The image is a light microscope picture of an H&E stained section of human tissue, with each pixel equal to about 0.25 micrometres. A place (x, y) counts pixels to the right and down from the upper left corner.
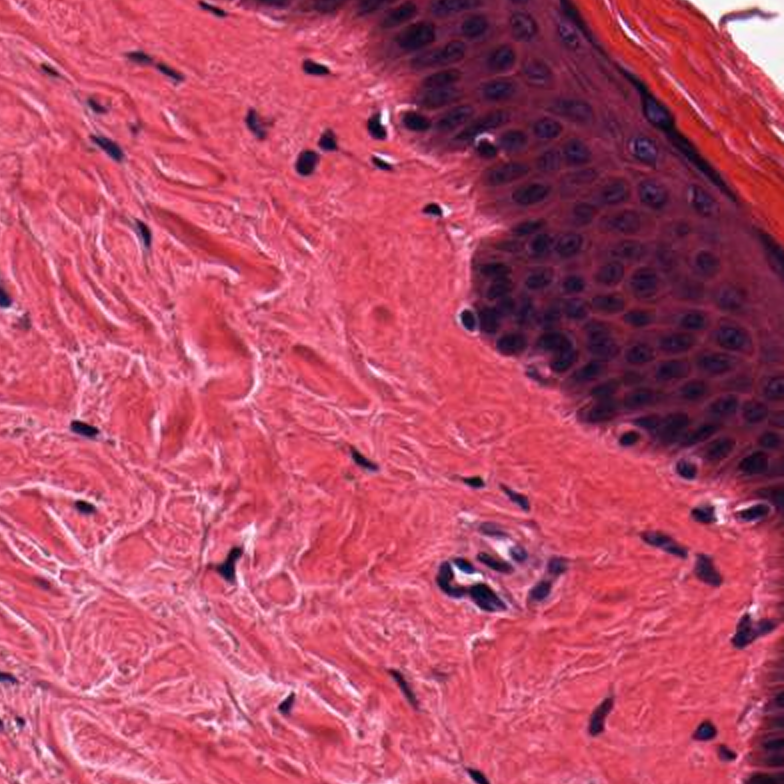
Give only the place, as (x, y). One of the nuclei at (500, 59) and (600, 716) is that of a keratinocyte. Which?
(500, 59)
